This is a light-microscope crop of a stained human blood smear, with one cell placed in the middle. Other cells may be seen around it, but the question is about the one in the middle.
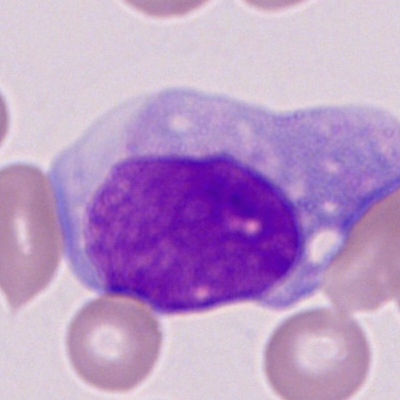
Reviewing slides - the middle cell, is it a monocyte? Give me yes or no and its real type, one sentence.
Yes, as regards the cell in the middle, it is a monocyte.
